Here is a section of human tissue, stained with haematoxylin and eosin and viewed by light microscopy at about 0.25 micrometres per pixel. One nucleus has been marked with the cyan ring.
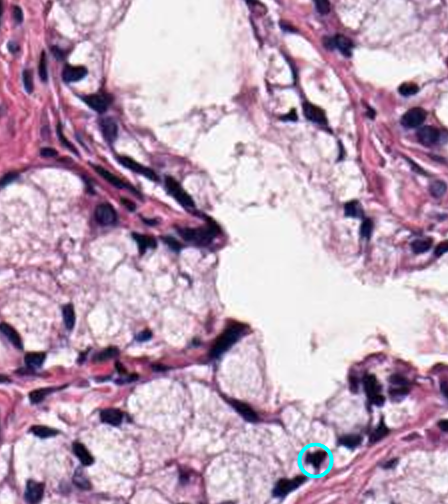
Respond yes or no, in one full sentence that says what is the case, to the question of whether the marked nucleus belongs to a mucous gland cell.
Yes, the owner of the marked nucleus is a mucous gland cell.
